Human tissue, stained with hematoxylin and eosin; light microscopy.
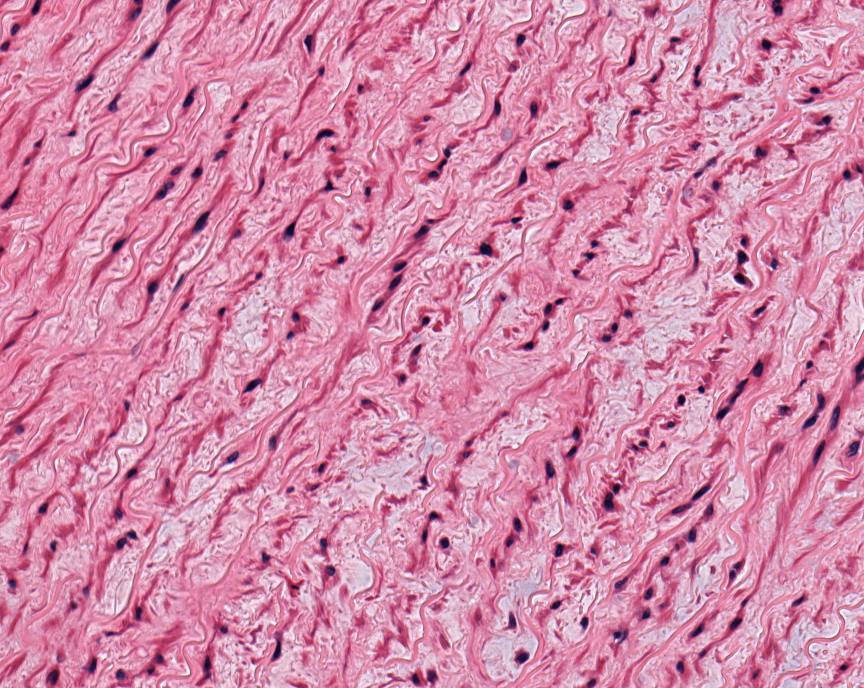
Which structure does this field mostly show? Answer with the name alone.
tunica media of an artery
